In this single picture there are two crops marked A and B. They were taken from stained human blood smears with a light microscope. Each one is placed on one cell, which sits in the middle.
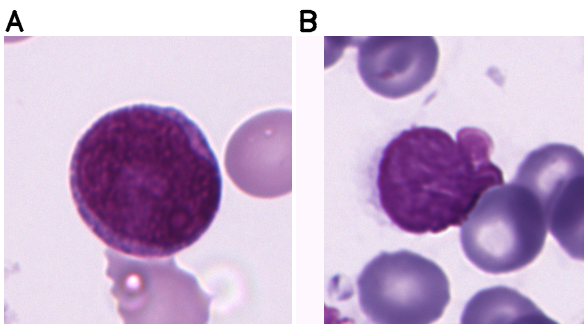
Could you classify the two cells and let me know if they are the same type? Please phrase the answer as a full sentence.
Yes, the two crops show myeloblasts, both of them.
